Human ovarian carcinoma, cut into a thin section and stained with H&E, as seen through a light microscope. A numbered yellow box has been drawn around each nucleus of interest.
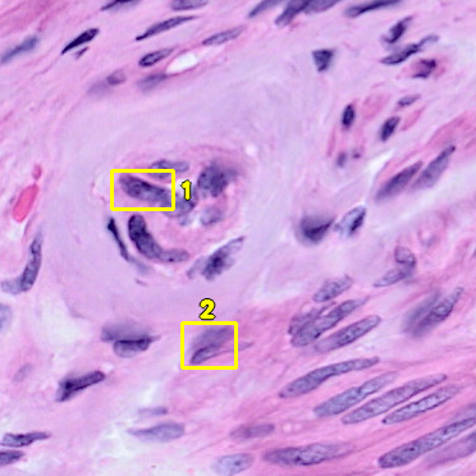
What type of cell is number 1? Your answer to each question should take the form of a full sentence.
The identity of cell 1 is that of an endothelial cell.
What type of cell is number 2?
Number 2 is placed on a smooth muscle cell here.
